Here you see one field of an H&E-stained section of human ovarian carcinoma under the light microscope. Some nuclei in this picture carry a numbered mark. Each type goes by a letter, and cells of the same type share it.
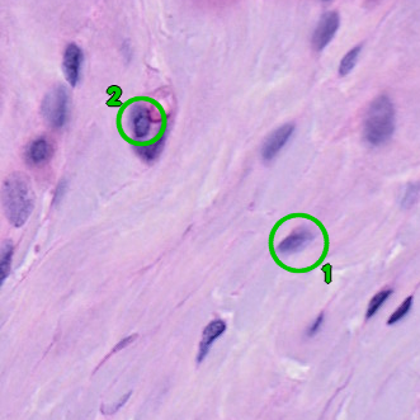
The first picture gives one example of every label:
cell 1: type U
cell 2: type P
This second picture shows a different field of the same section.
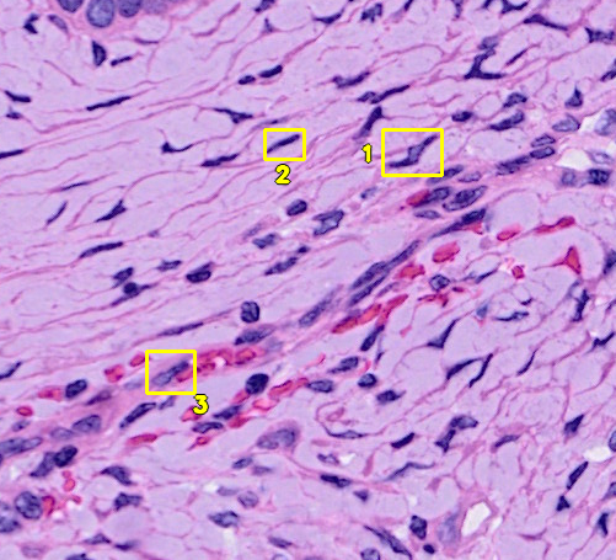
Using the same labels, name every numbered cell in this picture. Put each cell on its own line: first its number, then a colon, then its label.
1: type U
2: type U
3: type P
